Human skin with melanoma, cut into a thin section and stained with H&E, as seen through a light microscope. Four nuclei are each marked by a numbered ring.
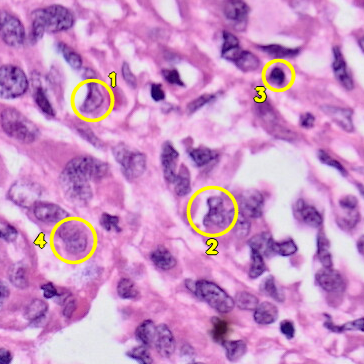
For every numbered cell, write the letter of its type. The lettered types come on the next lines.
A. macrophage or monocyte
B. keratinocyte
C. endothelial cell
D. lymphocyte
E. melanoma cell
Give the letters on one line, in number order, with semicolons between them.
E; E; D; E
